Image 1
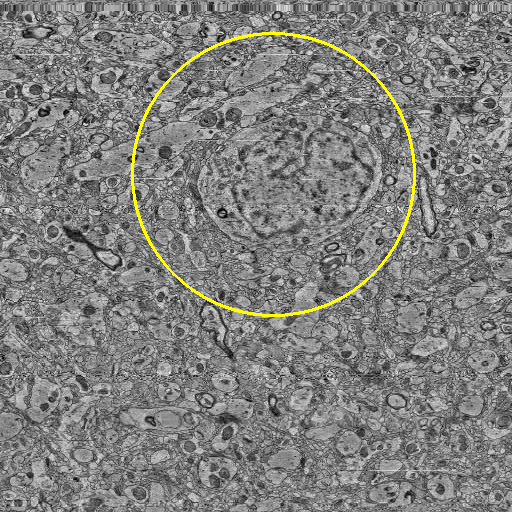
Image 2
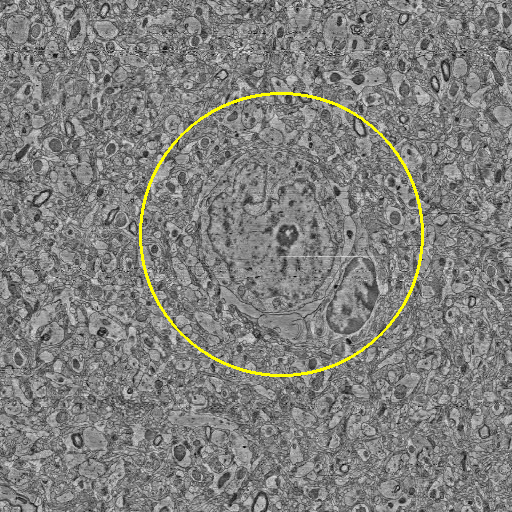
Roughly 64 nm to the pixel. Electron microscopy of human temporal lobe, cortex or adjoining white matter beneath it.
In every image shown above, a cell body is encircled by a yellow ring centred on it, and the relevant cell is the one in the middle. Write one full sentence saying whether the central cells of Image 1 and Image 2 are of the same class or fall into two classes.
The cell at the ring's centre in Image 1 and its counterpart in Image 2 are of the same class.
